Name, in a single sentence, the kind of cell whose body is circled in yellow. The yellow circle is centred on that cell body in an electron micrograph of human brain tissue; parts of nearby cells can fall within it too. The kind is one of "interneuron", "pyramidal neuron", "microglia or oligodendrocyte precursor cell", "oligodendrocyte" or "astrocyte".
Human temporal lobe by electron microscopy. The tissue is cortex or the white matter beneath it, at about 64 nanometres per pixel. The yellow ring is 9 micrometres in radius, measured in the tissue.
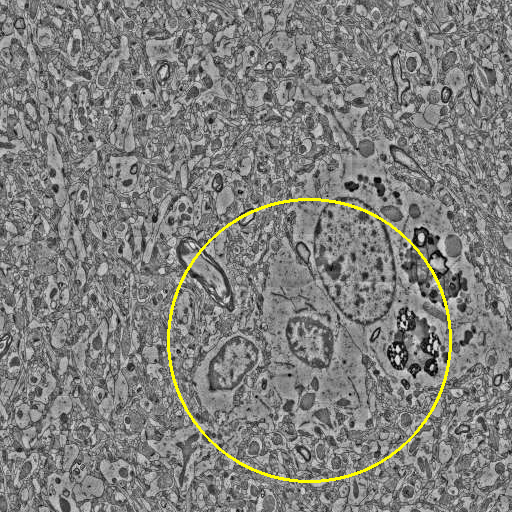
The circled cell body belongs to an astrocyte.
